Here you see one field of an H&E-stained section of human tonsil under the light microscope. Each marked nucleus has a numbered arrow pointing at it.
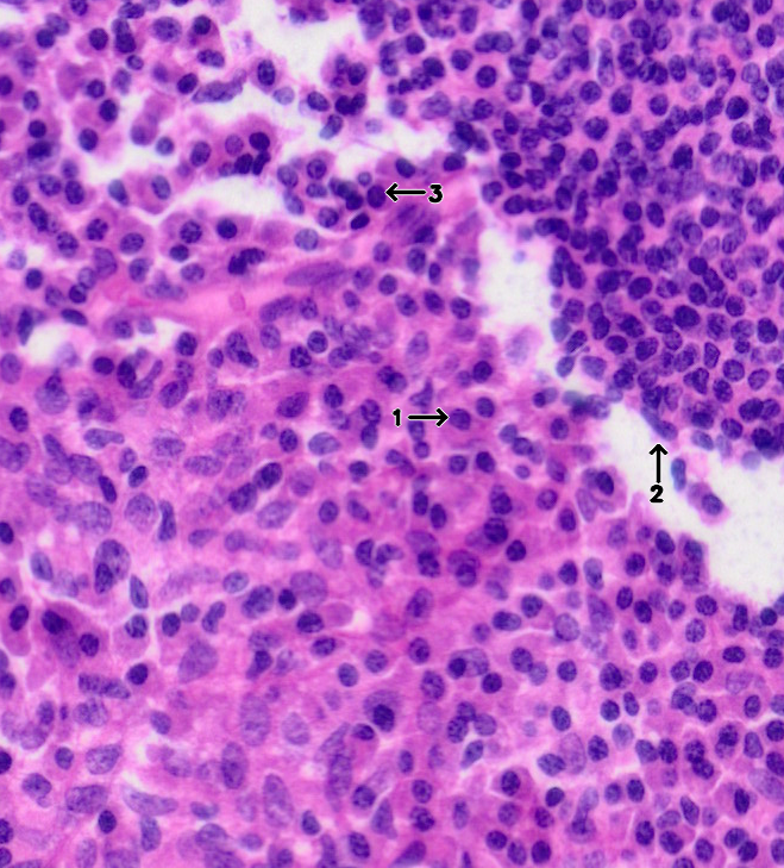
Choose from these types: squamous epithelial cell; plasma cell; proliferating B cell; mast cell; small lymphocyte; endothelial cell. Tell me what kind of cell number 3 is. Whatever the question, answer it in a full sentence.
The cell indicated with the number 3 is classed as a plasma cell.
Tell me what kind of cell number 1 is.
Number 1 among the marked cells is a plasma cell.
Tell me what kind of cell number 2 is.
Regarding cell 2, this one is a small lymphocyte.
